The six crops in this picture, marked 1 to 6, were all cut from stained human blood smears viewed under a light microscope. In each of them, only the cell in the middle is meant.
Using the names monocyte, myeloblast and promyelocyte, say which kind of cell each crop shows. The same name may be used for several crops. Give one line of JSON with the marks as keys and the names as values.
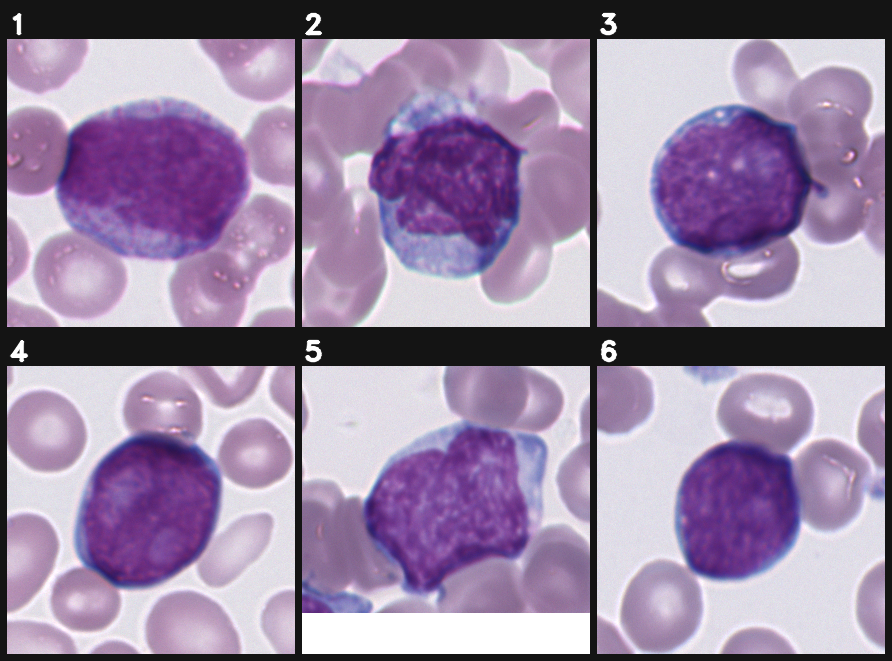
{"1": "promyelocyte", "2": "monocyte", "3": "myeloblast", "4": "myeloblast", "5": "myeloblast", "6": "myeloblast"}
